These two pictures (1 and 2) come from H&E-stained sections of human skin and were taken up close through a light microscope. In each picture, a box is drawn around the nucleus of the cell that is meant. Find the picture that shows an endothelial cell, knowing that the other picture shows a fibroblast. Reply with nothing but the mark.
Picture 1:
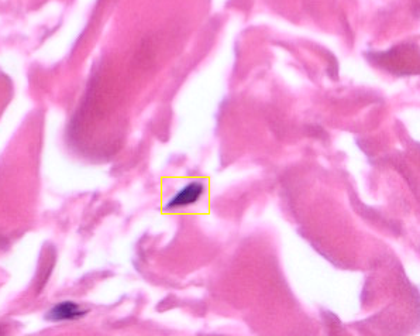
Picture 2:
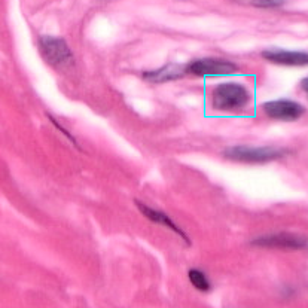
2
